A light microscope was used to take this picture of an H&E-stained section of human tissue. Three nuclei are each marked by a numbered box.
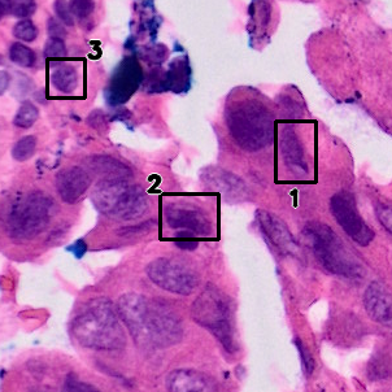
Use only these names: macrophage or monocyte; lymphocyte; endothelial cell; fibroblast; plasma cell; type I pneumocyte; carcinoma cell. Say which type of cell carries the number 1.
carcinoma cell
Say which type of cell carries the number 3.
lymphocyte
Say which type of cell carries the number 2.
carcinoma cell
